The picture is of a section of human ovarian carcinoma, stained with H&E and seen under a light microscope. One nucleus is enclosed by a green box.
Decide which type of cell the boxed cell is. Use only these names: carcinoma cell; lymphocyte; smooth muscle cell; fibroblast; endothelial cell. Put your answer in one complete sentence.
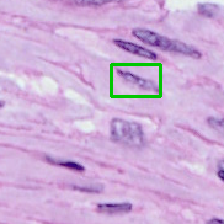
As classified here, the boxed cell is a fibroblast.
